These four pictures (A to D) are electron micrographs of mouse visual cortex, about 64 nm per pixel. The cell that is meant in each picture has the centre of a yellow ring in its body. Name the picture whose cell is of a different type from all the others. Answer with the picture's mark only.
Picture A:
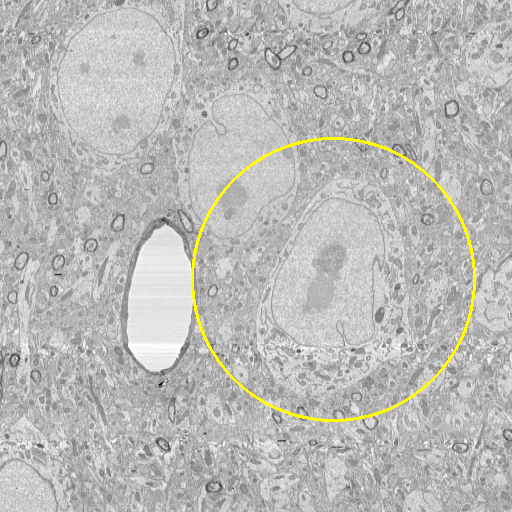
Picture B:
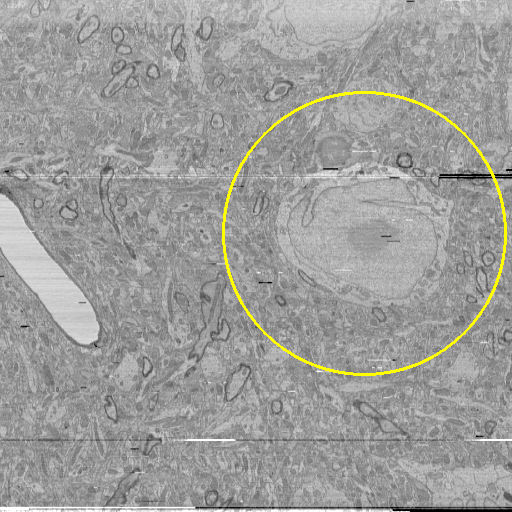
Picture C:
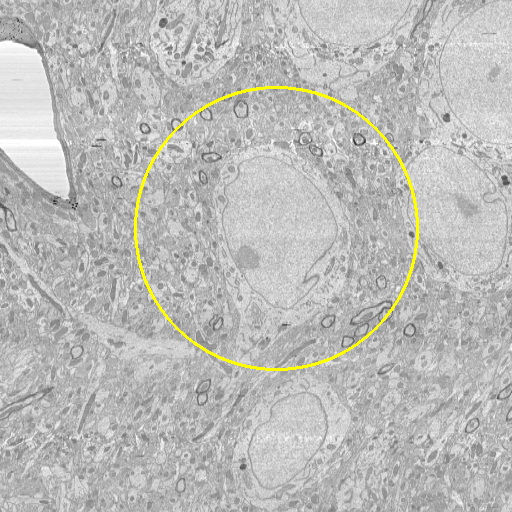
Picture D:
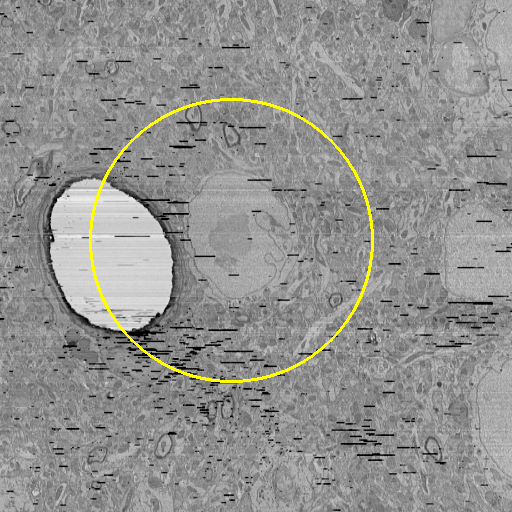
C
